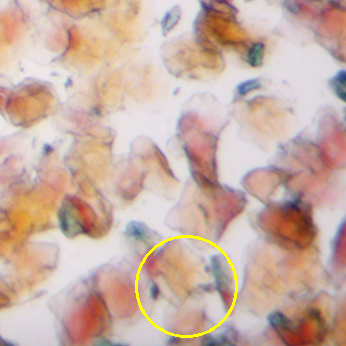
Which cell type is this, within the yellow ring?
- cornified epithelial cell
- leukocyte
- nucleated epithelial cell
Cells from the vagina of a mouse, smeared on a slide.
Within the ring is a cornified epithelial cell.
